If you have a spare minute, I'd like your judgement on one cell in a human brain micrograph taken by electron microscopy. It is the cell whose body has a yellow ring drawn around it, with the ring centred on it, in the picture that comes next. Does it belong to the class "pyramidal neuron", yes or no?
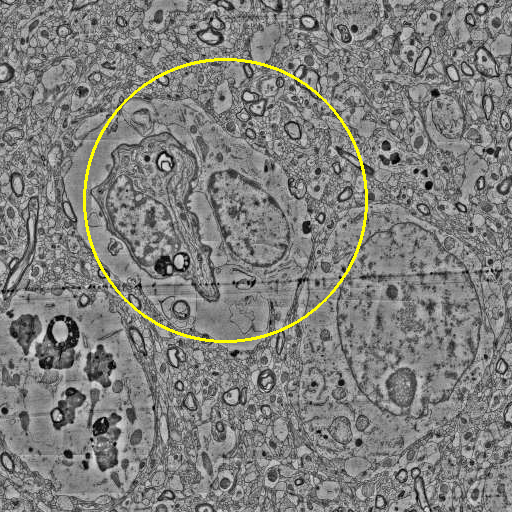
No, it belongs to another class.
